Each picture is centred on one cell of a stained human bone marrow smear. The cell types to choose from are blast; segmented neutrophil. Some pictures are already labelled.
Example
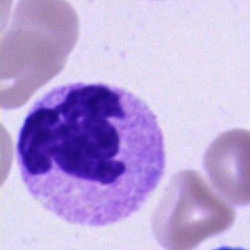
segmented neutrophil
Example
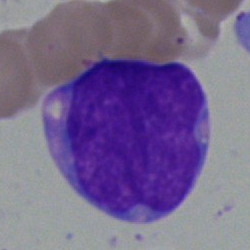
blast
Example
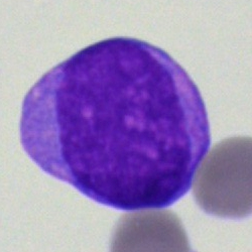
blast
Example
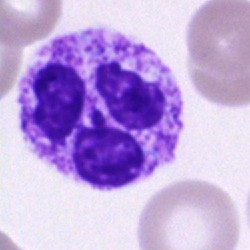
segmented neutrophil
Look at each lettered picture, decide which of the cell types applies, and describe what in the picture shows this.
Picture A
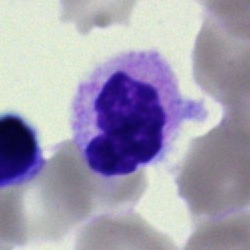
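segmented neutrophil. Evidence: The chromatin is dark purple and coarsely clumped.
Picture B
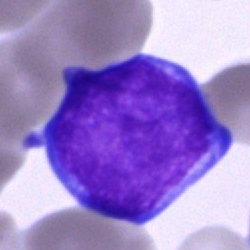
blast. Evidence: The cytoplasm forms only a thin rim around the nucleus.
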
